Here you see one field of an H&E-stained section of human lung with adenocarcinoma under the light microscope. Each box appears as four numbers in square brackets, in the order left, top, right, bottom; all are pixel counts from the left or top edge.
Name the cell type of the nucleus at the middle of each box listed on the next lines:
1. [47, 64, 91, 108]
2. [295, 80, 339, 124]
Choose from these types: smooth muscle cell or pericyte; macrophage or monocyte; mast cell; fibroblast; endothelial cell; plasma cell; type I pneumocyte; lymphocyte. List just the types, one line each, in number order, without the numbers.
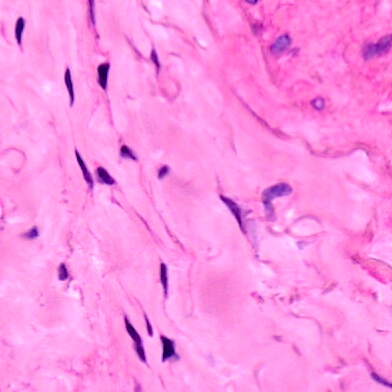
fibroblast
smooth muscle cell or pericyte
